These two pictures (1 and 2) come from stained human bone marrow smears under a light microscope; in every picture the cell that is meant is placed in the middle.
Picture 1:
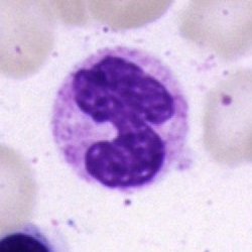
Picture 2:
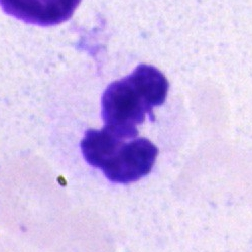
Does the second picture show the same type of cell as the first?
yes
